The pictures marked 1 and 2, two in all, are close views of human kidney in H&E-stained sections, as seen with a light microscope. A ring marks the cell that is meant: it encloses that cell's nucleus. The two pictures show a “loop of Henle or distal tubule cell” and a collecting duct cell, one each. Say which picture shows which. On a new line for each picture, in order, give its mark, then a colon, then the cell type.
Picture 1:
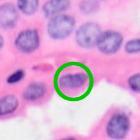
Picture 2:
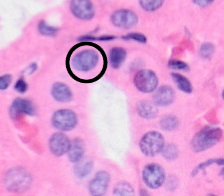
1: loop of Henle or distal tubule cell
2: collecting duct cell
